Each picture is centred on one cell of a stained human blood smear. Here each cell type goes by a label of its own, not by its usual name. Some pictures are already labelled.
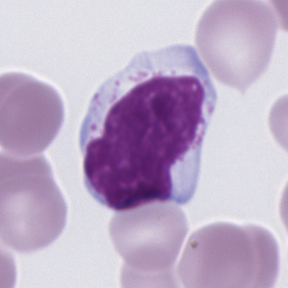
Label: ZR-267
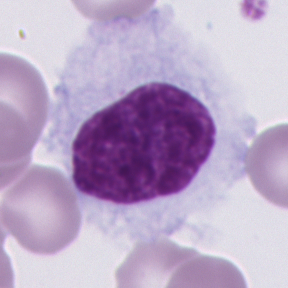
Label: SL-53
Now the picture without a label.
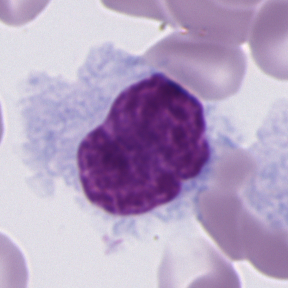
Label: SL-53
